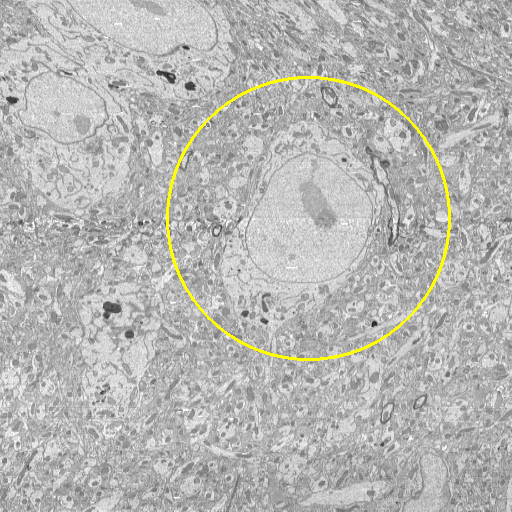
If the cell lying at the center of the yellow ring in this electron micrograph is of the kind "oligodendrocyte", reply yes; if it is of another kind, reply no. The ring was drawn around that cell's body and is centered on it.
no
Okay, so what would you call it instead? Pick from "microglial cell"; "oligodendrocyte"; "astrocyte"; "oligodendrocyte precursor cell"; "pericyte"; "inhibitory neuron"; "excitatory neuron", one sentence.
The cell in the ring is an excitatory neuron instead.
